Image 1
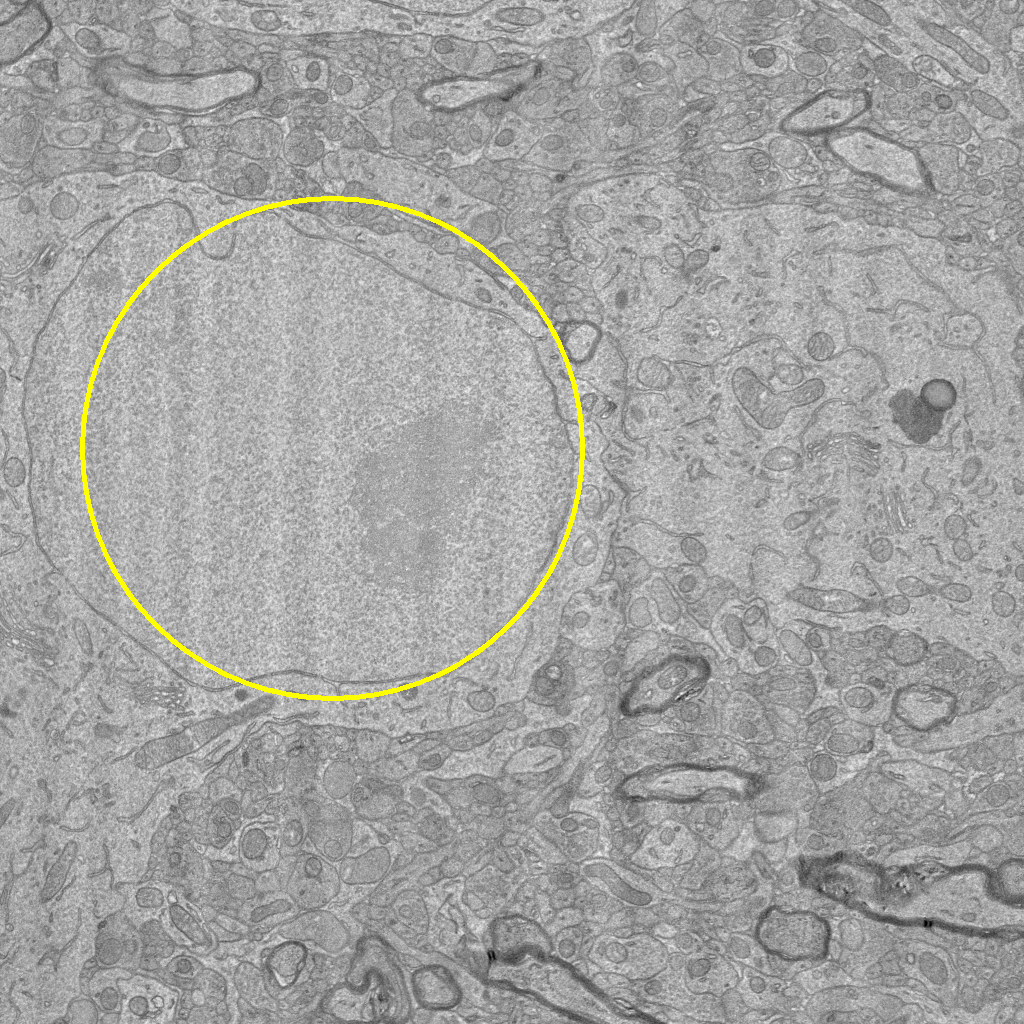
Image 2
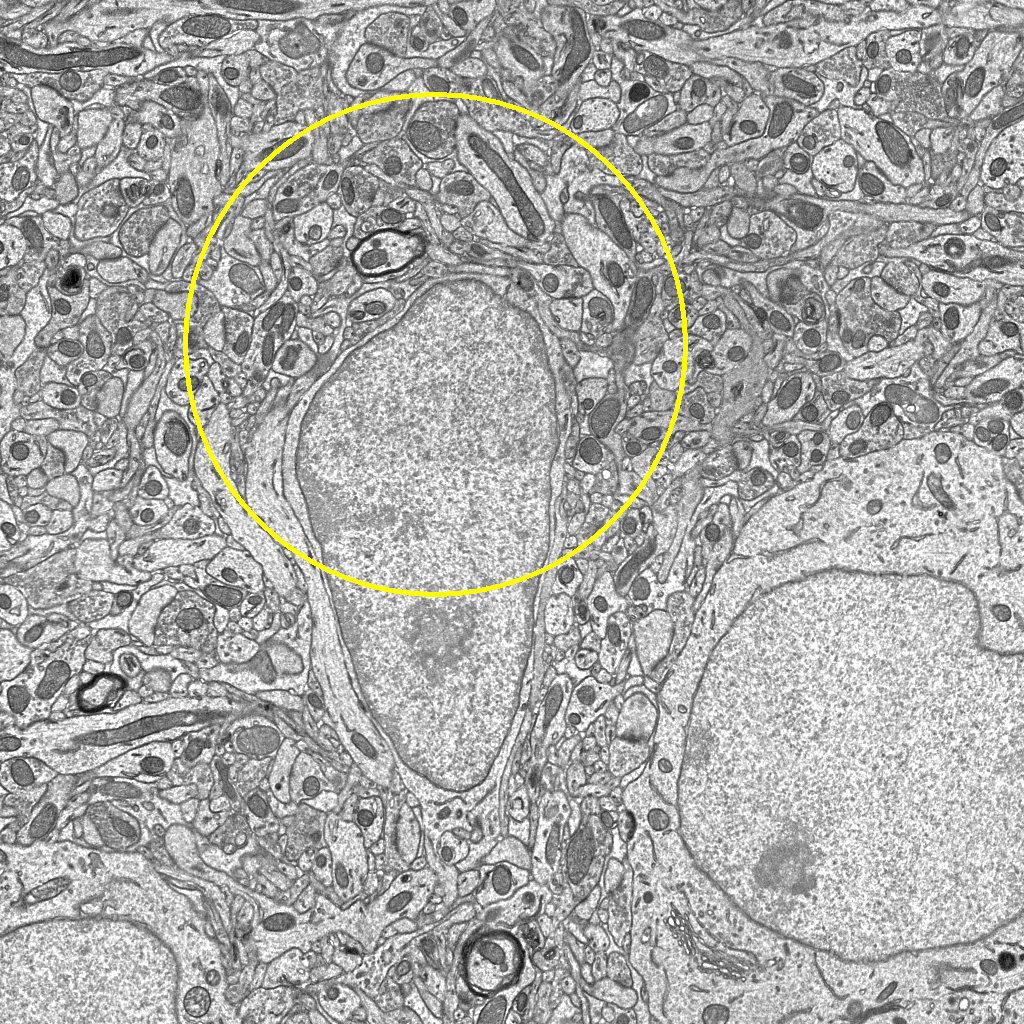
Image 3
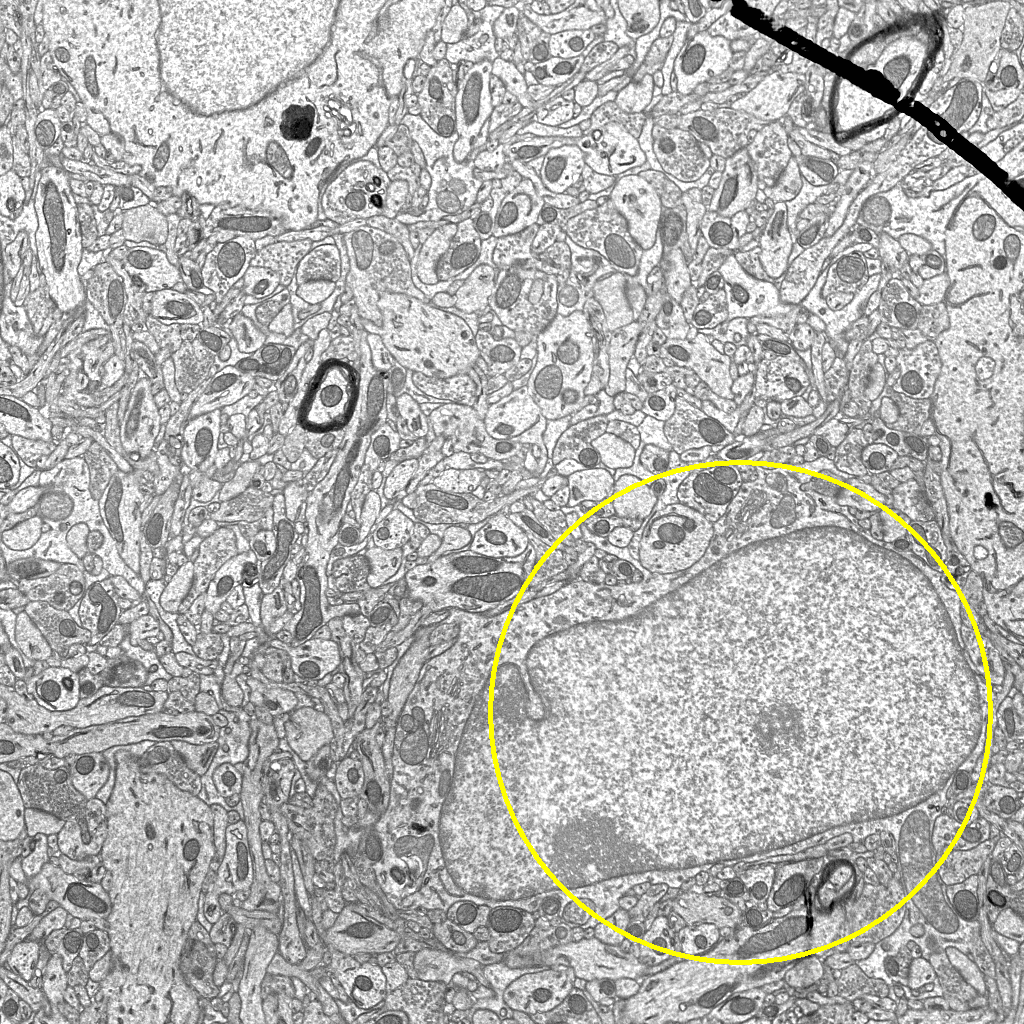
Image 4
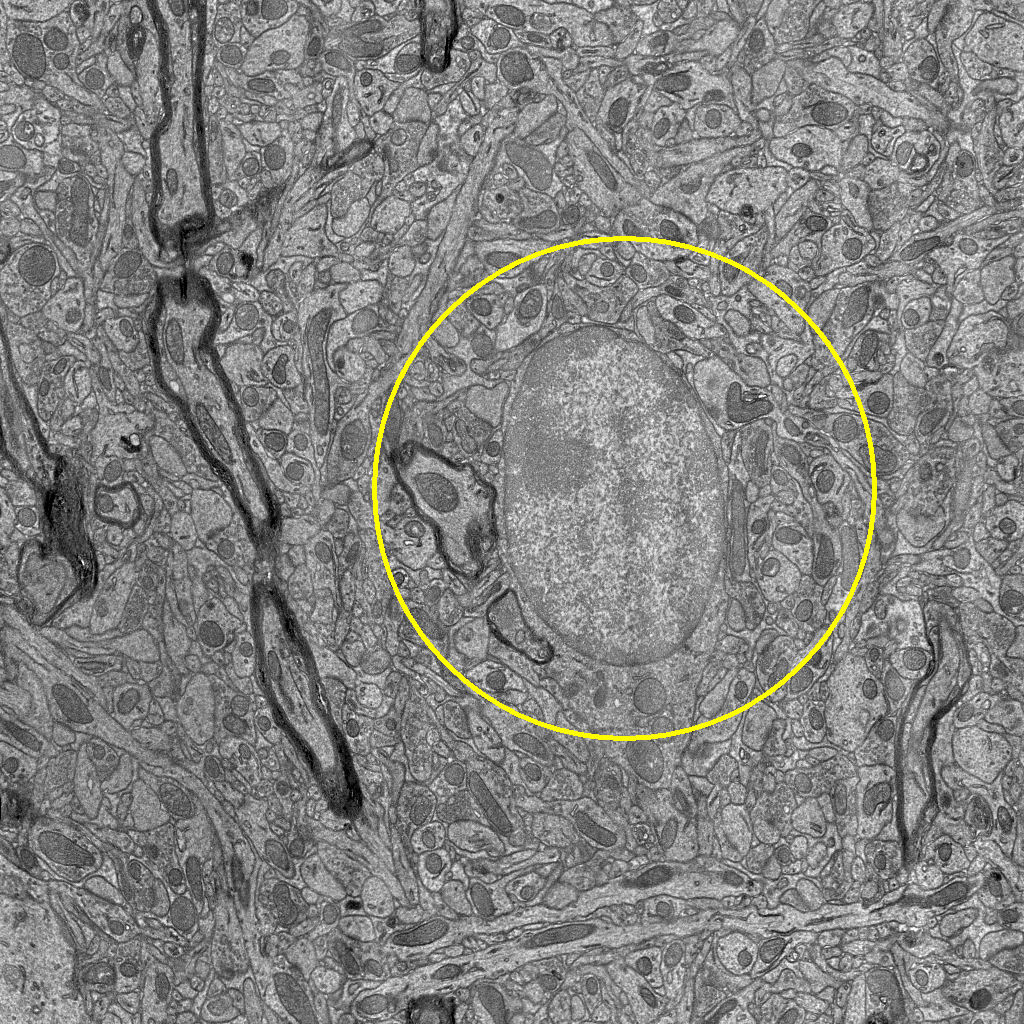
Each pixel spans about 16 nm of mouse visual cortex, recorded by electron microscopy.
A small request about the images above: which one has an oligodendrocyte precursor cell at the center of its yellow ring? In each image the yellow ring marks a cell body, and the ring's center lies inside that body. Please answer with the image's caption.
Image 2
